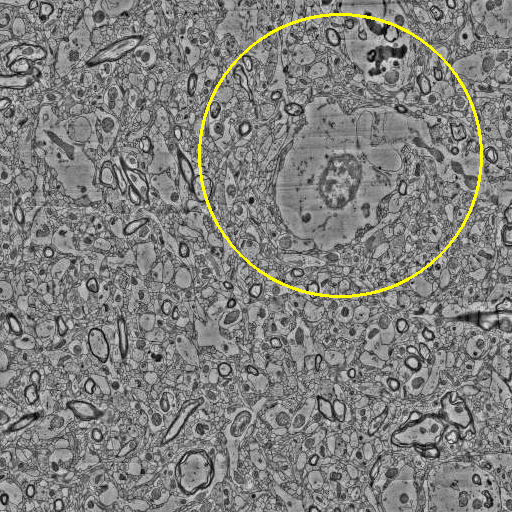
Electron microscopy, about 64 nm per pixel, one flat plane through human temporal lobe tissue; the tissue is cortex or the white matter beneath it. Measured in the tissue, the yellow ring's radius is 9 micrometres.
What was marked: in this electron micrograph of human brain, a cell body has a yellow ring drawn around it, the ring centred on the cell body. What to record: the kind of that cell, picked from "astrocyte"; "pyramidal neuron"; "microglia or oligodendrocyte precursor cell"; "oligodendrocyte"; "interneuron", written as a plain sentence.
The centred cell is an astrocyte.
